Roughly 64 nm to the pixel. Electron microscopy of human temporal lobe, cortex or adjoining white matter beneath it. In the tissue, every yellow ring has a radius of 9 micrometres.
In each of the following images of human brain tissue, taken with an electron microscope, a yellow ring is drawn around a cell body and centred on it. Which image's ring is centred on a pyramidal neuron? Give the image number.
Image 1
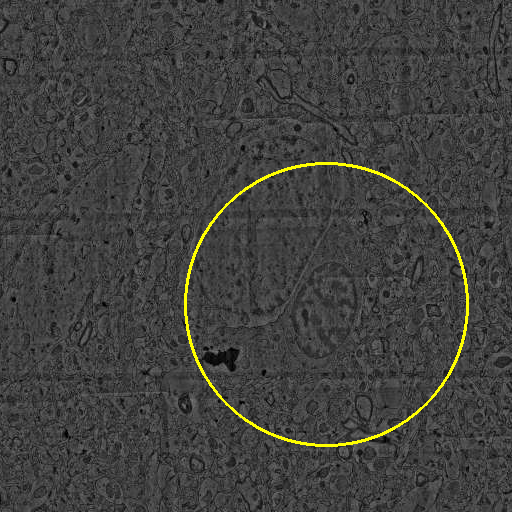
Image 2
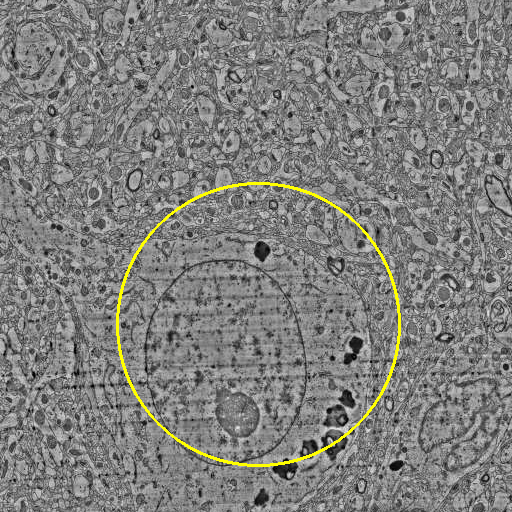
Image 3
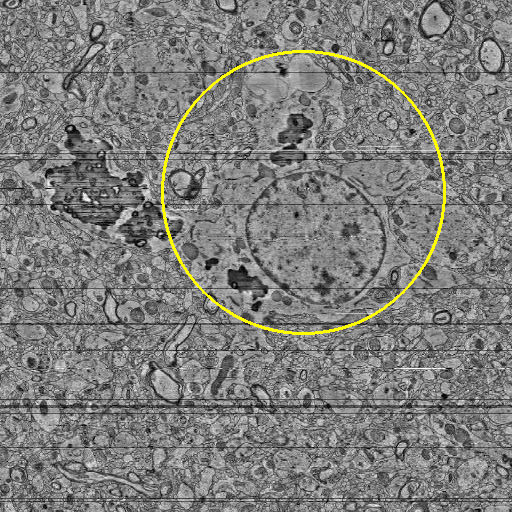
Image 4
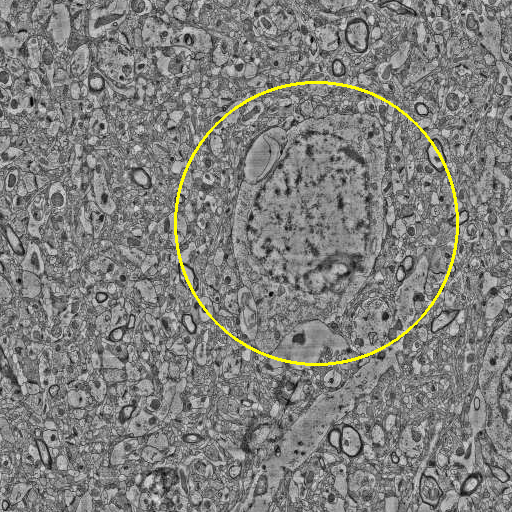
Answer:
2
